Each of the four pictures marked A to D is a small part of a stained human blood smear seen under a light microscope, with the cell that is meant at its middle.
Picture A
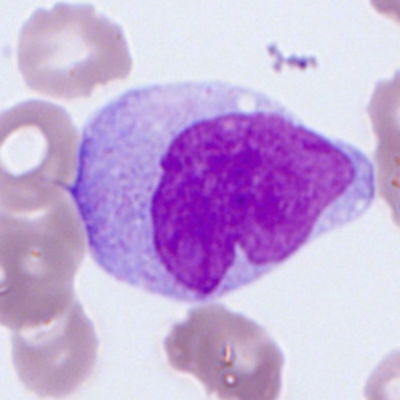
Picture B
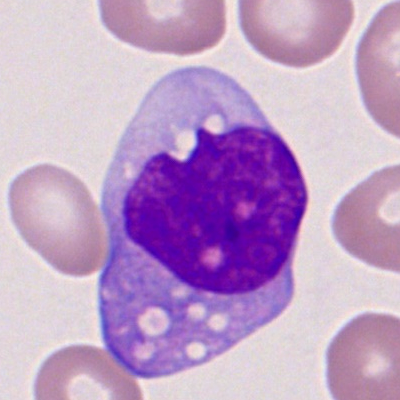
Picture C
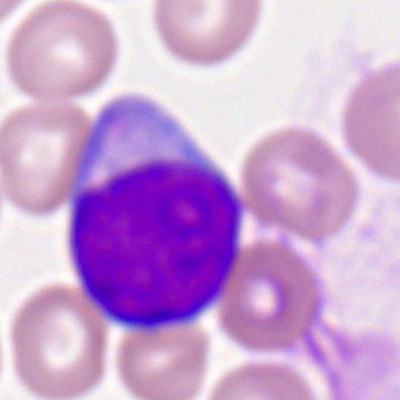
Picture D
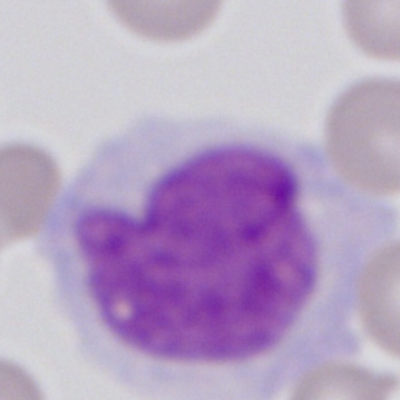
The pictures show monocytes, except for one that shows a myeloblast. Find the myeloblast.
C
